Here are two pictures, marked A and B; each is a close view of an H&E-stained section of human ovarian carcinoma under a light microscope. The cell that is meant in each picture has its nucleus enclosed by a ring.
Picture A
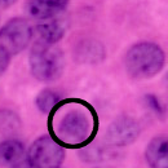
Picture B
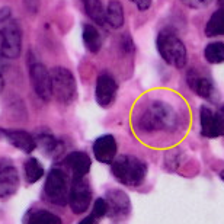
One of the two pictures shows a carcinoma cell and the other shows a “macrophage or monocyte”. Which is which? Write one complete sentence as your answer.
In picture A the cell is a carcinoma cell; in picture B, a “macrophage or monocyte”.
